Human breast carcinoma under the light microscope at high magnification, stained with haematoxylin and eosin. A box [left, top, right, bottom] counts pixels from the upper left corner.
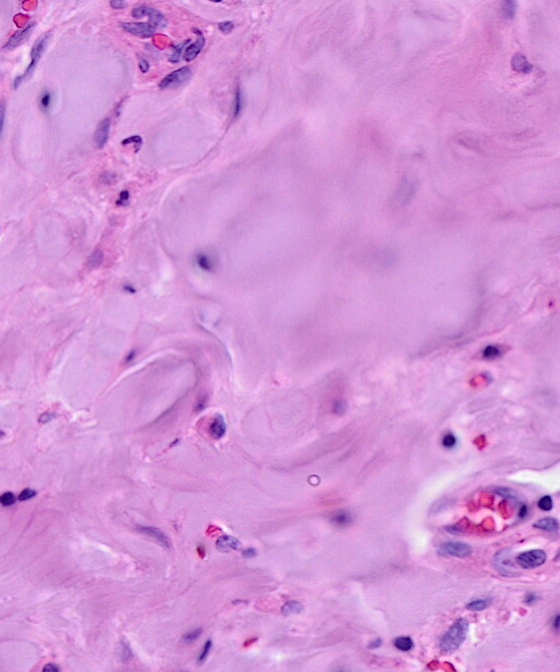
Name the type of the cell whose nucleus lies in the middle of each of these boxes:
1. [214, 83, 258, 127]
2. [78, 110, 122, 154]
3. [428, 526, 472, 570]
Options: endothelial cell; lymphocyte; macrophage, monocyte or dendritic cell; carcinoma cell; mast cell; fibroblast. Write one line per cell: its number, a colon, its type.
1: fibroblast
2: fibroblast
3: endothelial cell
